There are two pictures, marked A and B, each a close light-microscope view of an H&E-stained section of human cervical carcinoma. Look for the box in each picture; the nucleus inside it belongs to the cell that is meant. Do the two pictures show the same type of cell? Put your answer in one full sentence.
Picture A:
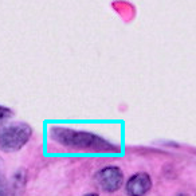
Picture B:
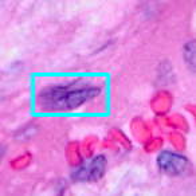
Yes, both are endothelial cells.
